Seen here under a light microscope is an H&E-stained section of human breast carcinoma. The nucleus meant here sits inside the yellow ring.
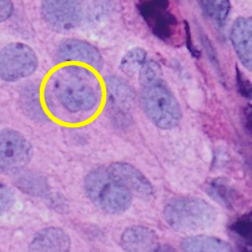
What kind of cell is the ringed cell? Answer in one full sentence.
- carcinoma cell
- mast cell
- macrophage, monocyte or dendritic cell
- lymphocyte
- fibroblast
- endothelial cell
For the purposes of cell typing, the ringed cell is categorized as a carcinoma cell.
